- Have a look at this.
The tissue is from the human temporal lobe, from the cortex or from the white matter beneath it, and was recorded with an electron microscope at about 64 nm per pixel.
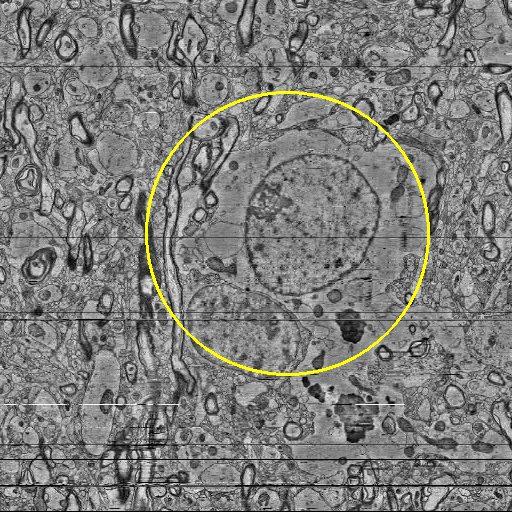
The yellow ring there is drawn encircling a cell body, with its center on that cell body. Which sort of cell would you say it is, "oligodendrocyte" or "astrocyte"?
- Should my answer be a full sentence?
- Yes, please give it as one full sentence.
For this picture, an astrocyte is the cell where the yellow ring has its center.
